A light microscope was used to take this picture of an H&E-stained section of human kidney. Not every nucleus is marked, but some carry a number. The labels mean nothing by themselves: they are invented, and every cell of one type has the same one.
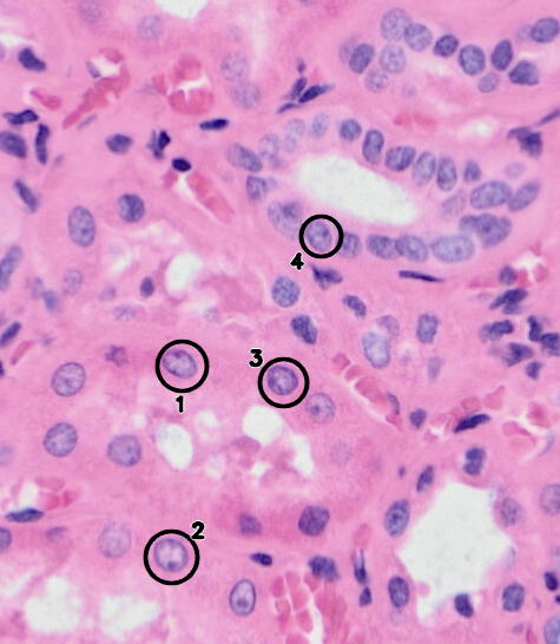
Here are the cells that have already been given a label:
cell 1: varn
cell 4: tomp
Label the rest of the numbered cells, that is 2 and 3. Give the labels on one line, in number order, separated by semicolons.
varn; varn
